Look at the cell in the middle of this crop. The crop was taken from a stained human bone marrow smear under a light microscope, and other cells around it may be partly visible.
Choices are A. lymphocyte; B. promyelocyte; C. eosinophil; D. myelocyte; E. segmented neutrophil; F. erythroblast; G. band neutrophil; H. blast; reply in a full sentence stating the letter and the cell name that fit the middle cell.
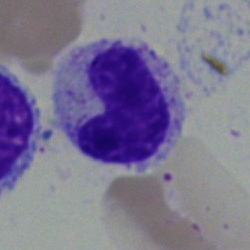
What option G states is correct, the central cell being a band neutrophil.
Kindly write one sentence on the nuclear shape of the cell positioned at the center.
See how the nucleus sits as one compact round, oval or kidney-shaped mass.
